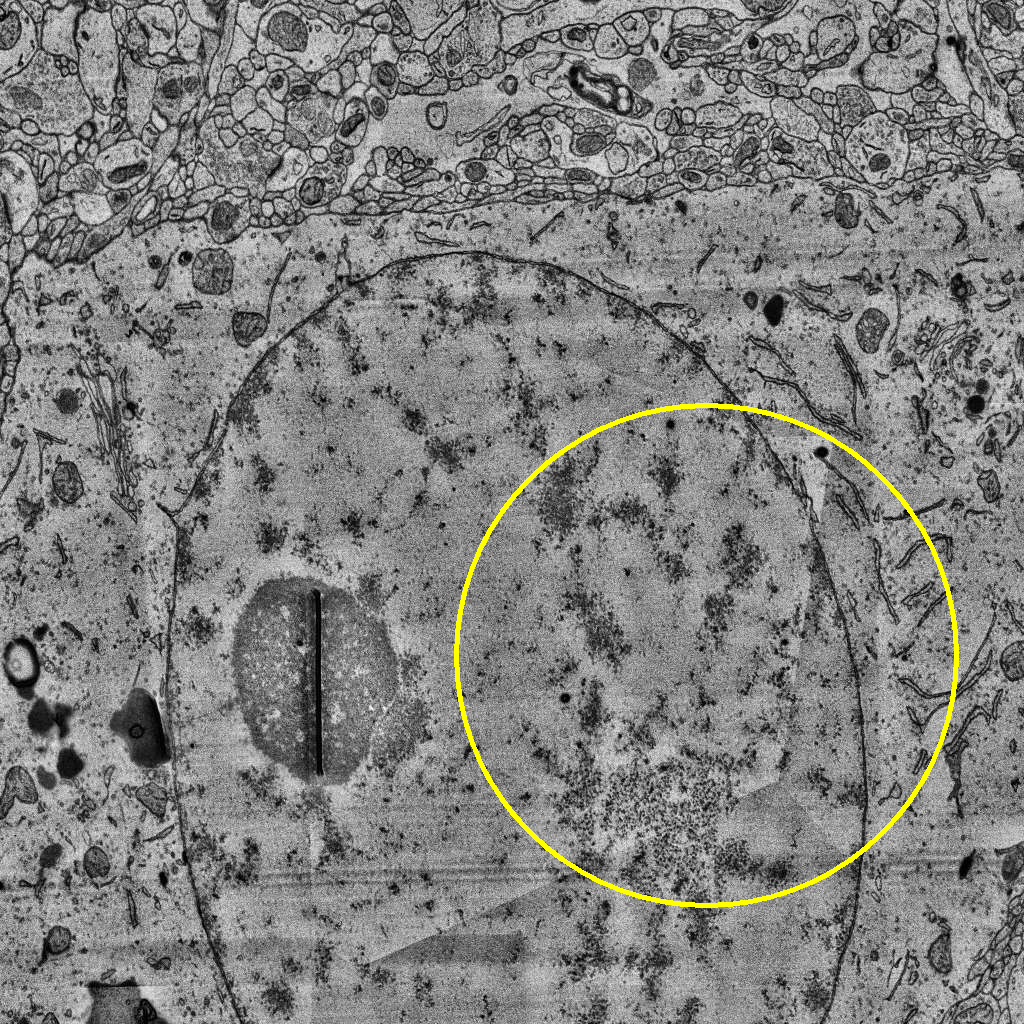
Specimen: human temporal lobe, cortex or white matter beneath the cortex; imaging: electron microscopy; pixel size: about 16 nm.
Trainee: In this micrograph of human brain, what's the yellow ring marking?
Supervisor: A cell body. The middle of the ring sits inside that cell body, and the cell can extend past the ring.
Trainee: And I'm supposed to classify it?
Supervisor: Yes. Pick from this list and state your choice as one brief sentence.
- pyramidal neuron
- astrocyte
The cell at the ring's center is a pyramidal neuron.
